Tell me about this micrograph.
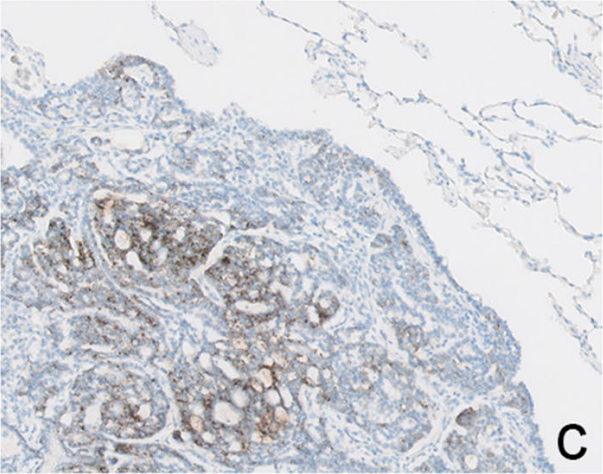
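The nests have a sieve-like, cribriform pattern with many round, clear, punched-out spaces between the tumour cells. Many tumour cells show granular brown cytoplasmic stain around these spaces, while the nuclei appear blue. Thin bands of stroma divide the nests, and a blue-stained rim of tissue covers the surface toward the air spaces.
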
